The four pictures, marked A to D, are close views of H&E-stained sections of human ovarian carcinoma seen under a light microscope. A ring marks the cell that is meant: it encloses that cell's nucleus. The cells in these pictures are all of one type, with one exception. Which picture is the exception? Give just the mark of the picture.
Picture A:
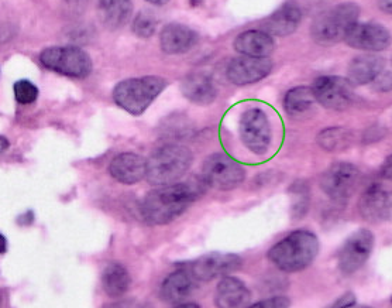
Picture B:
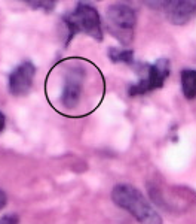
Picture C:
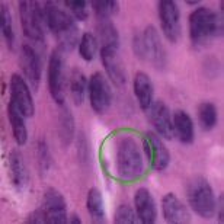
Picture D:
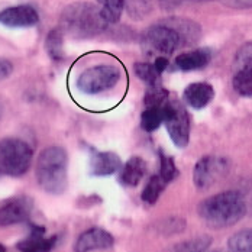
C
